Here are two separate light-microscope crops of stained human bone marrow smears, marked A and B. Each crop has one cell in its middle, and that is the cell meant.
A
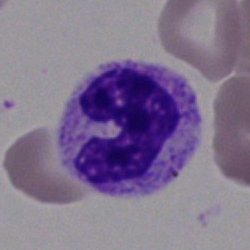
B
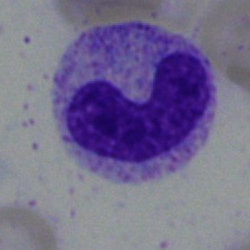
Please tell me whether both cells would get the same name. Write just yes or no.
yes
